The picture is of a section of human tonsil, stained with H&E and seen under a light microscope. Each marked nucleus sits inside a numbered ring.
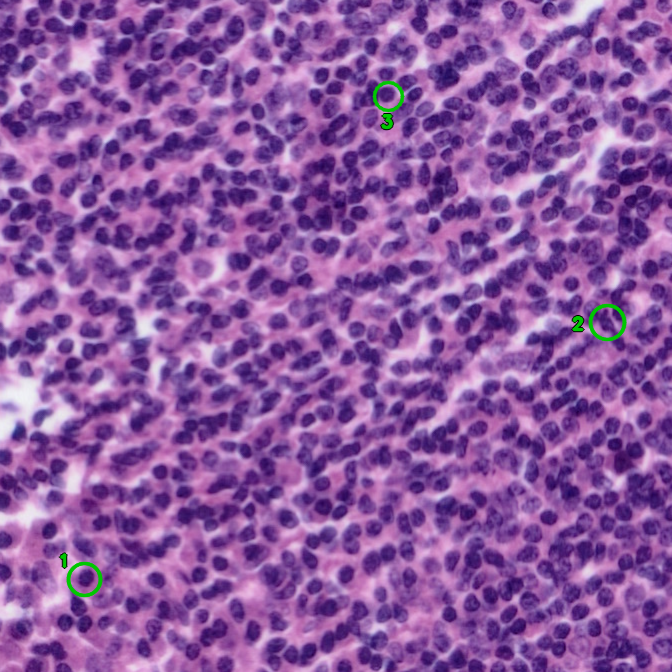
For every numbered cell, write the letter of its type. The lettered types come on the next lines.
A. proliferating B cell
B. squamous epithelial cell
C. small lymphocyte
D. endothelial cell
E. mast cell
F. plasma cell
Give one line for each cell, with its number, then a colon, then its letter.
1: F
2: C
3: C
